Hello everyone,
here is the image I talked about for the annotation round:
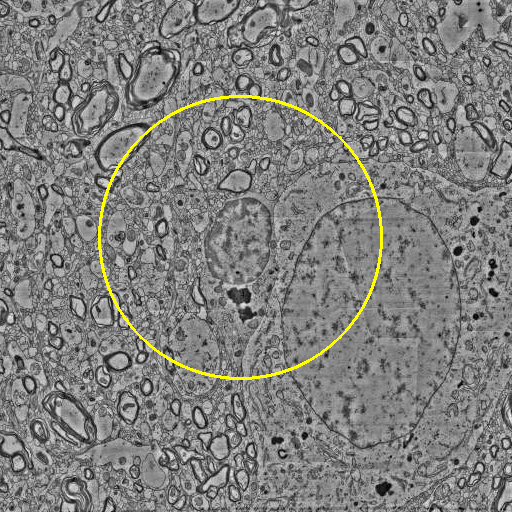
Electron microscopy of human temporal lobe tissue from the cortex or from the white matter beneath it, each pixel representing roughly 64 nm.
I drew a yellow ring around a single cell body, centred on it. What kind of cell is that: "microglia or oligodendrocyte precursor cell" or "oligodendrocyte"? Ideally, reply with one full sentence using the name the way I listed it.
The cell your yellow ring is centred on is an oligodendrocyte, going by your list.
